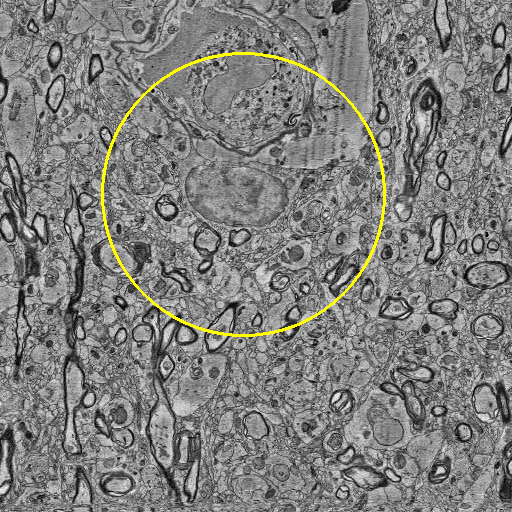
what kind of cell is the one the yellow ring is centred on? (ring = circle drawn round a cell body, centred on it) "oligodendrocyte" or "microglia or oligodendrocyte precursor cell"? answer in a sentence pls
The ring is drawn around an oligodendrocyte.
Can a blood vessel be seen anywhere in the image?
Yes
